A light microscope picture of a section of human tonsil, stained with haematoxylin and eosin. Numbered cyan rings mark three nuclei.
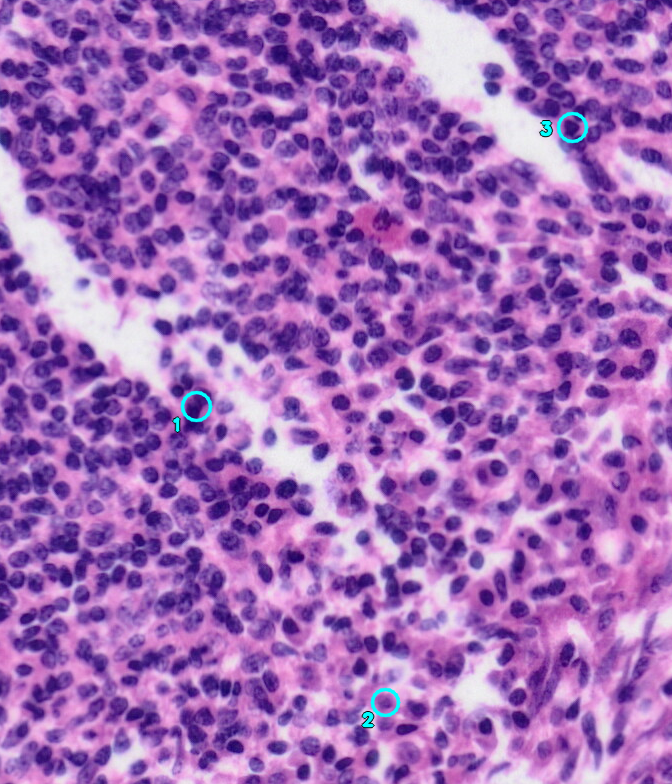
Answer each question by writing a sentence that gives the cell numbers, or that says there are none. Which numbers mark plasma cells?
Cell 2 is a plasma cell, and this holds for no other numbered cell.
